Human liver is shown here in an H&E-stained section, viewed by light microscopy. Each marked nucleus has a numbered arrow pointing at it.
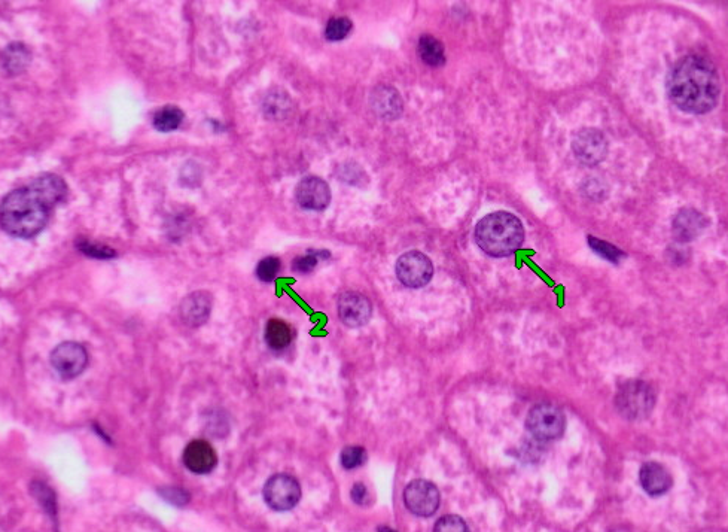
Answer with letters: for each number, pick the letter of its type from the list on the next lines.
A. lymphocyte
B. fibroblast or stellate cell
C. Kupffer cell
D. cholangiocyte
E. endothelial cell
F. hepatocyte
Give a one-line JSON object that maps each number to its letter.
{"1": "F", "2": "A"}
